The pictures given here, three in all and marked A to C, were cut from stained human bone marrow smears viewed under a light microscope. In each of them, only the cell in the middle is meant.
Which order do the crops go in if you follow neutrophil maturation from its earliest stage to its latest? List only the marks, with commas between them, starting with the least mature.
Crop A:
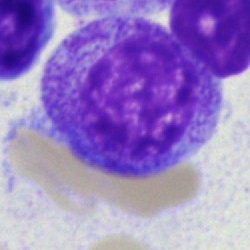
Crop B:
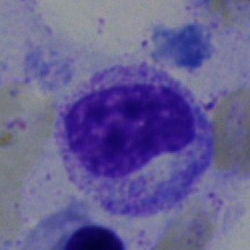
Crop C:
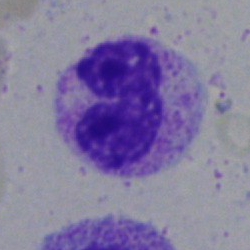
A, B, C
